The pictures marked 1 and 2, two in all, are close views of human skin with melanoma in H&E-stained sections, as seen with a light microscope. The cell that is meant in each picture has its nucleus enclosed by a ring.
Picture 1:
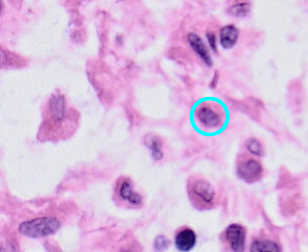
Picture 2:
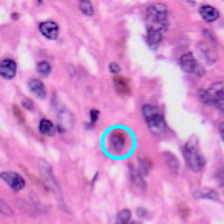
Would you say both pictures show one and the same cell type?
yes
